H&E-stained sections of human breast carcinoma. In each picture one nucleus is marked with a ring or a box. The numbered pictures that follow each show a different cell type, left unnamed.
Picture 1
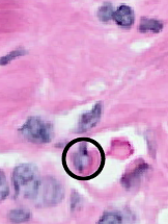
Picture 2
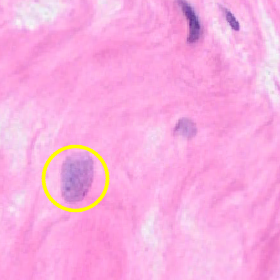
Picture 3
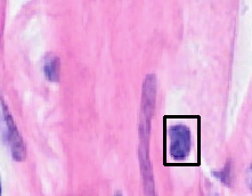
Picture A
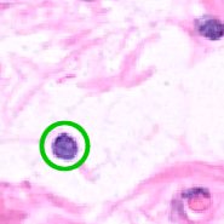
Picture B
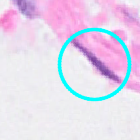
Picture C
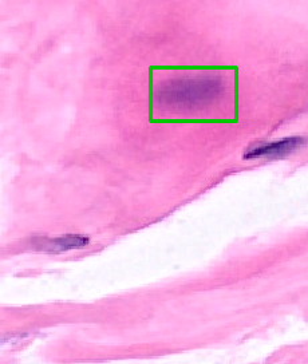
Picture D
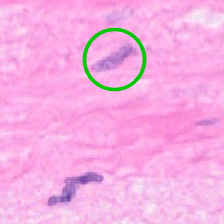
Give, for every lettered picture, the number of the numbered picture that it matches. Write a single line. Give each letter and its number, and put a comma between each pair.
A 3, B 2, C 2, D 2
